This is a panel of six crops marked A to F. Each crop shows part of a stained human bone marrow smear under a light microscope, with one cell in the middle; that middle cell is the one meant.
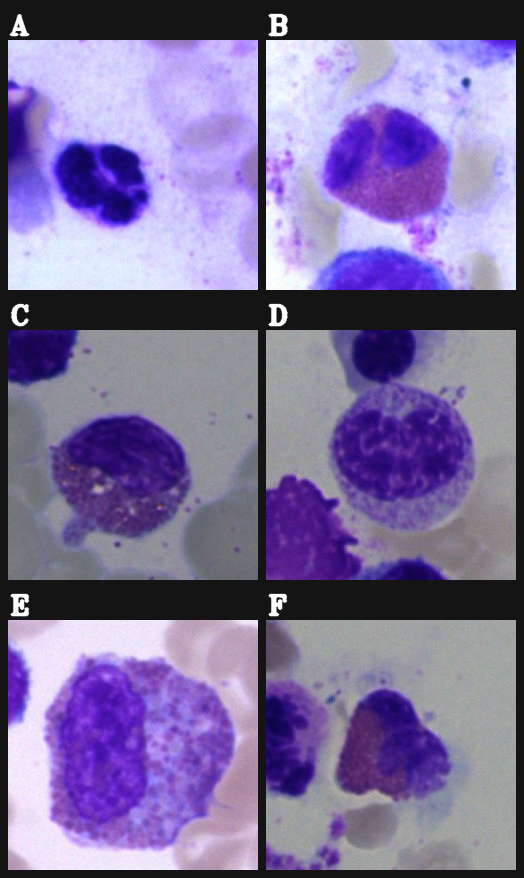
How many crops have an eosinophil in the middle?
4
